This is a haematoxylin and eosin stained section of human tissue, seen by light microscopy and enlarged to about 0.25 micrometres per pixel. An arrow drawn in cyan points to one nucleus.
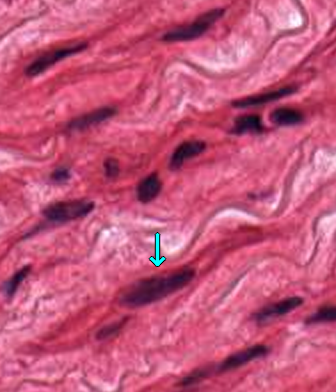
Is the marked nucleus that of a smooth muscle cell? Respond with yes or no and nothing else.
yes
